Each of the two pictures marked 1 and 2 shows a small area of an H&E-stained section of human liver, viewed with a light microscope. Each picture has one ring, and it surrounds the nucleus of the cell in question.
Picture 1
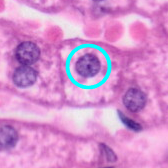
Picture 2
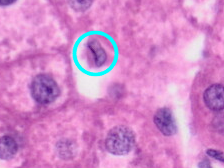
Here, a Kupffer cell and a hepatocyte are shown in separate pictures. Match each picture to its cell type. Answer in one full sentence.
Picture 2 shows a Kupffer cell, while picture 1 shows a hepatocyte.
